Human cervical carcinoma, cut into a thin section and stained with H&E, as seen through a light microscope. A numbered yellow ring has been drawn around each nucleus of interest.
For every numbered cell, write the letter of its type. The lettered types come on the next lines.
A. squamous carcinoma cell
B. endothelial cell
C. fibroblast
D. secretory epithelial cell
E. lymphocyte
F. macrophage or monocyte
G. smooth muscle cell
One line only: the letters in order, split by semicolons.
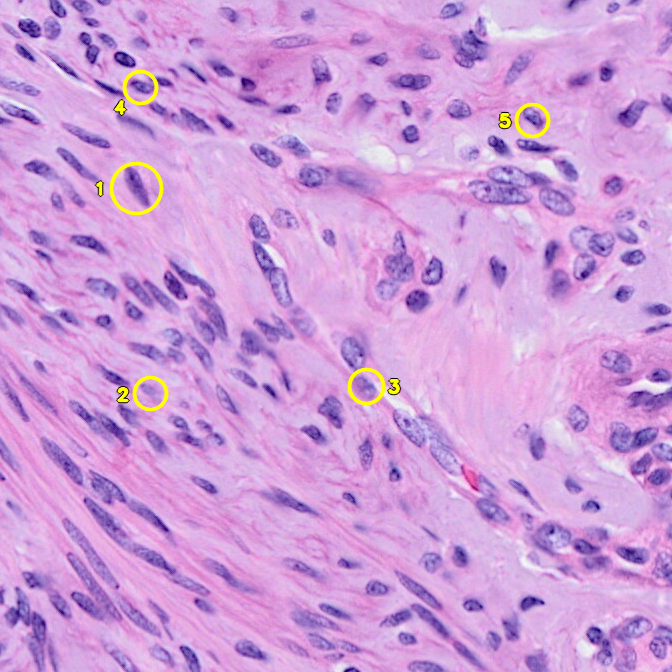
C; G; B; G; G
